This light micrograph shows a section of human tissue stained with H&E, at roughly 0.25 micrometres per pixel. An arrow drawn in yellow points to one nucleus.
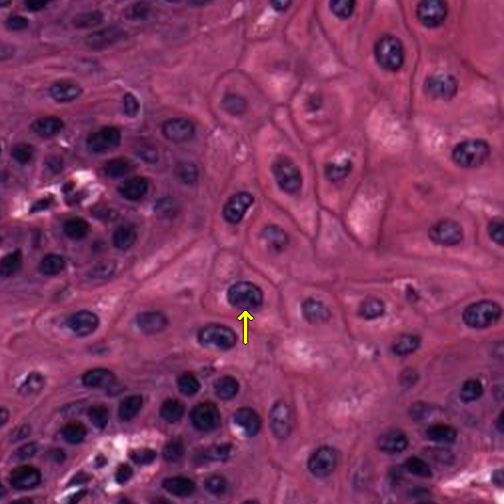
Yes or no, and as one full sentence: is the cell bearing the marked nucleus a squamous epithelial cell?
Yes, the cell that holds the marked nucleus is a squamous epithelial cell.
